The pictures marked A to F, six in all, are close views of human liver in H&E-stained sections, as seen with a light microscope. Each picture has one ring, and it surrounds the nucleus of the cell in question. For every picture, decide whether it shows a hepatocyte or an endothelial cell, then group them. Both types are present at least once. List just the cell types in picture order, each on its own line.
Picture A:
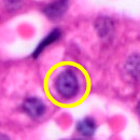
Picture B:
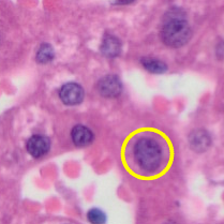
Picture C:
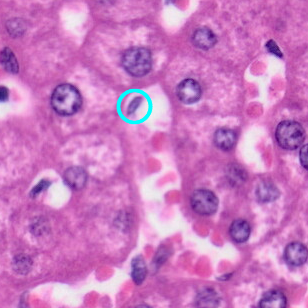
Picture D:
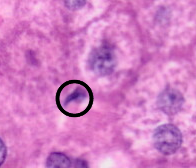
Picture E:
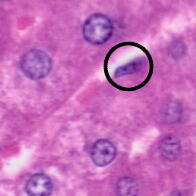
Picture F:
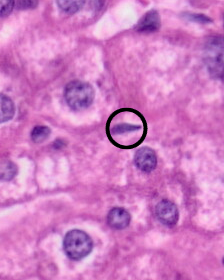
hepatocyte
hepatocyte
endothelial cell
endothelial cell
endothelial cell
endothelial cell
